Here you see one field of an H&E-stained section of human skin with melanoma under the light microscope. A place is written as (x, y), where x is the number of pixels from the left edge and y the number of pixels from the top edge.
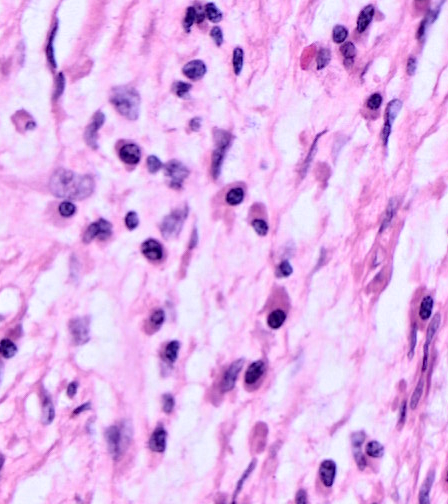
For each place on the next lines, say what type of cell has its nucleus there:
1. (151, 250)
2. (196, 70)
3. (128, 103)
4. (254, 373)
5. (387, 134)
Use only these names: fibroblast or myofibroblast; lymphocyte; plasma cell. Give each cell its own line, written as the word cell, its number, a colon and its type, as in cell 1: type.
cell 1: plasma cell
cell 2: lymphocyte
cell 3: fibroblast or myofibroblast
cell 4: plasma cell
cell 5: fibroblast or myofibroblast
